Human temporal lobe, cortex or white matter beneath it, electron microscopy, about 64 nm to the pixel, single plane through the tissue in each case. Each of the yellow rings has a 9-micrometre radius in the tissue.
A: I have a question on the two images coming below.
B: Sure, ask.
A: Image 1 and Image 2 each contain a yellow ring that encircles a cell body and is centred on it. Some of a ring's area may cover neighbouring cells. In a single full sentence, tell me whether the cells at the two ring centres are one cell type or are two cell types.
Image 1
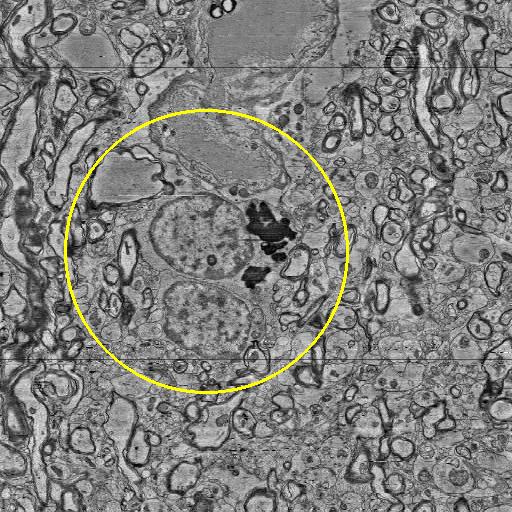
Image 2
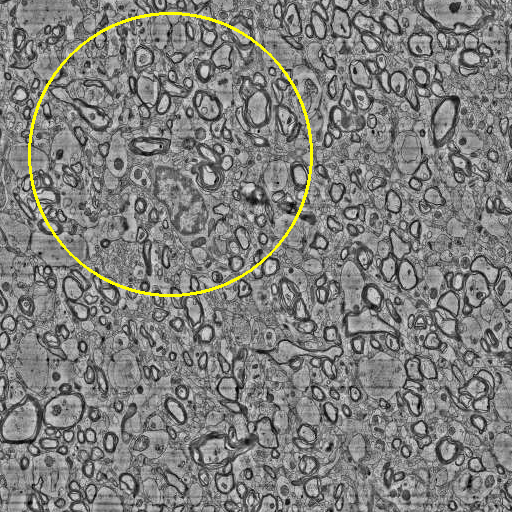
As for the ring-centre cells, the one in Image 1 and the one in Image 2 are one cell type.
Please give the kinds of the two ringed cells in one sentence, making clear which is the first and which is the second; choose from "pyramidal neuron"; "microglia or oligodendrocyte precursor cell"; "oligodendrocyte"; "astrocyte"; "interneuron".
Both rings mark an oligodendrocyte, one in each picture.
